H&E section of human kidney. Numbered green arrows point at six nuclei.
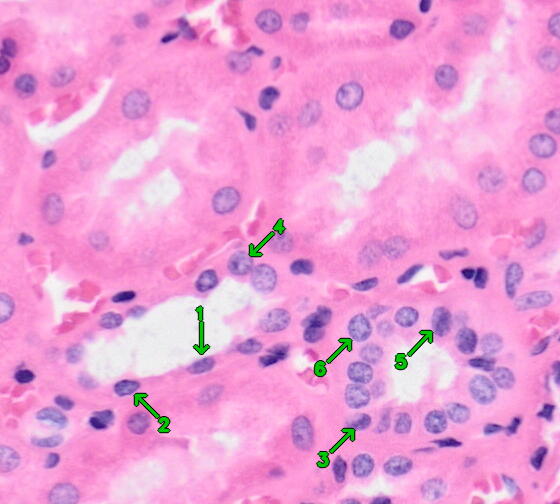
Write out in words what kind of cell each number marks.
Cell 1 is a loop of Henle or distal tubule cell, cell 2 is a loop of Henle or distal tubule cell, cell 3 is a collecting duct cell, cell 4 is a loop of Henle or distal tubule cell, cell 5 is a collecting duct cell and cell 6 is a collecting duct cell.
